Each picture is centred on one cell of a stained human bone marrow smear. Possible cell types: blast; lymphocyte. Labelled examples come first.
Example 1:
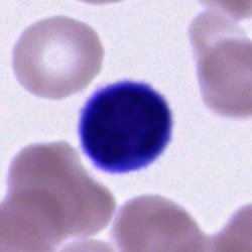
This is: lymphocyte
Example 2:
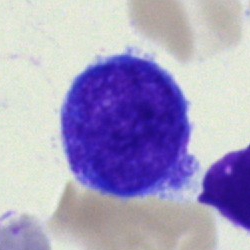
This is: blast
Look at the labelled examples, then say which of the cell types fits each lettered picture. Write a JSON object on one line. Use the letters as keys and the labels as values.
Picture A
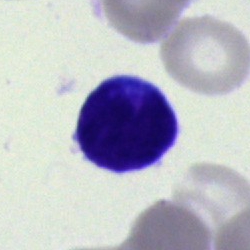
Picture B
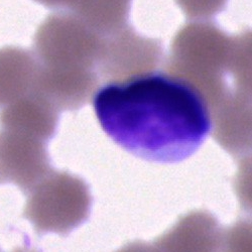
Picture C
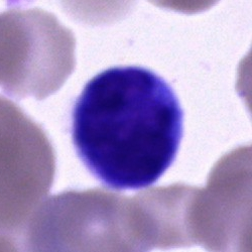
{"A": "blast", "B": "lymphocyte", "C": "lymphocyte"}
